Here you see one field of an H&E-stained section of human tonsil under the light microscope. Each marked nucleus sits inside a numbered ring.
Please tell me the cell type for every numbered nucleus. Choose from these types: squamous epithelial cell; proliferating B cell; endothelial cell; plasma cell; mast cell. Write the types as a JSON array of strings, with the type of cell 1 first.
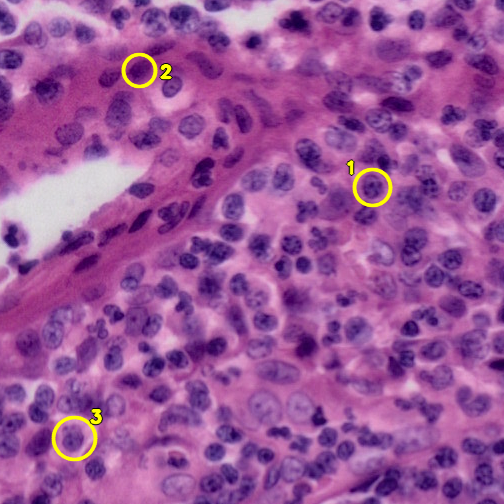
["plasma cell", "squamous epithelial cell", "squamous epithelial cell"]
